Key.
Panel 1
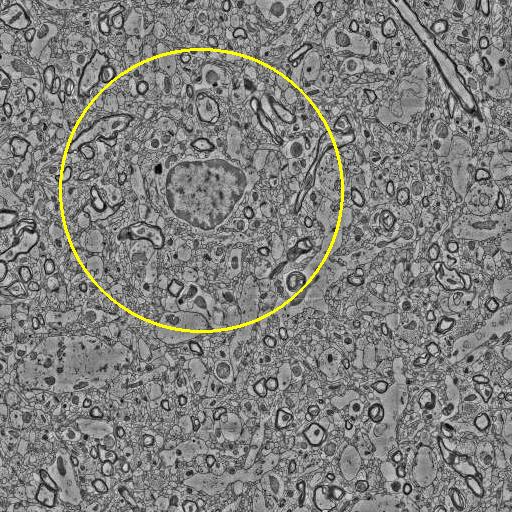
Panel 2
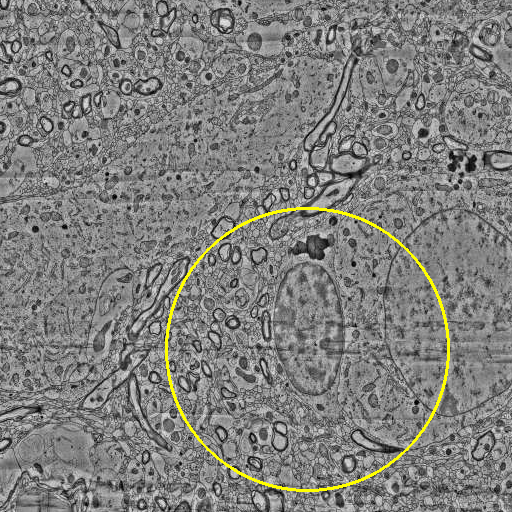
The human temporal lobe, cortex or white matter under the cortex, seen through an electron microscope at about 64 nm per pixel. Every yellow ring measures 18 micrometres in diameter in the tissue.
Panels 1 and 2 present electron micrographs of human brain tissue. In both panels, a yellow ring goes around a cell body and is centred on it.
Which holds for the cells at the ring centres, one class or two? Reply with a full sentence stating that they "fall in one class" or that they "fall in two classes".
Taken together, the ring-centre cells of the two panels fall in two classes.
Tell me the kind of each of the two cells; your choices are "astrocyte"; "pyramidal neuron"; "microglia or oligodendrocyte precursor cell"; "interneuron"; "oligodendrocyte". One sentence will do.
The ringed cell is a microglial cell or oligodendrocyte precursor cell in the first picture and an oligodendrocyte in the second picture.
